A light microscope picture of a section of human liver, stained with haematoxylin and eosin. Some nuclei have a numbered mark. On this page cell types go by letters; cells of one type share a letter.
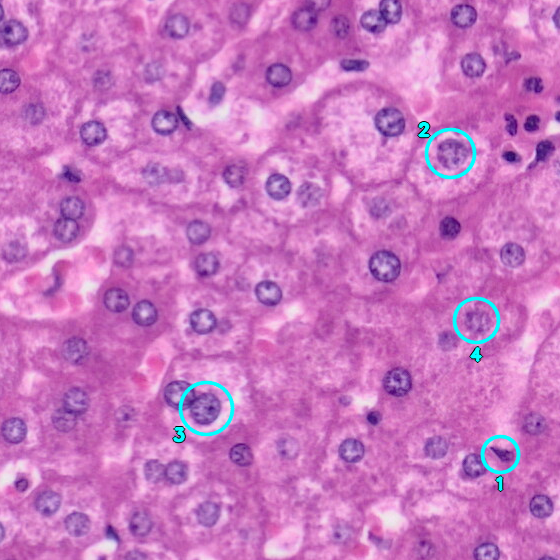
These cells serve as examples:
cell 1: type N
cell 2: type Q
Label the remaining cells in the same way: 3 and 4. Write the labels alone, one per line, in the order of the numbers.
type Q
type Q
